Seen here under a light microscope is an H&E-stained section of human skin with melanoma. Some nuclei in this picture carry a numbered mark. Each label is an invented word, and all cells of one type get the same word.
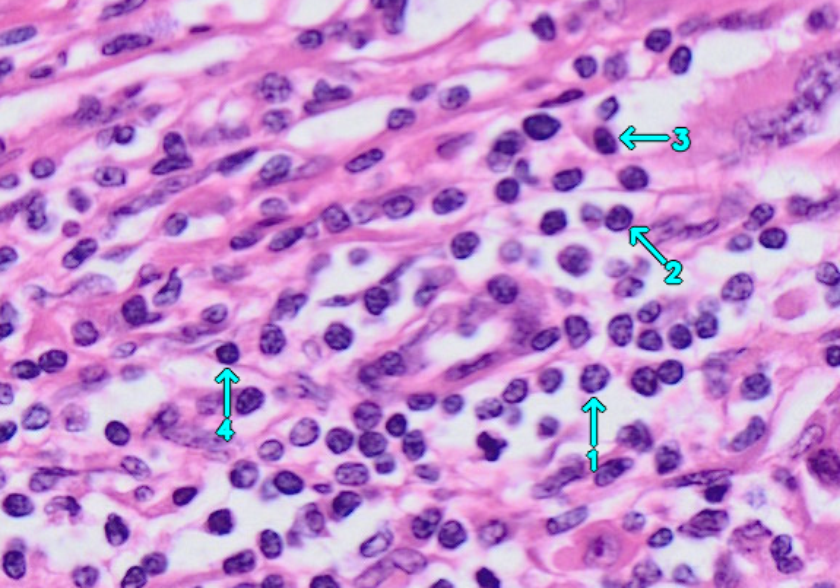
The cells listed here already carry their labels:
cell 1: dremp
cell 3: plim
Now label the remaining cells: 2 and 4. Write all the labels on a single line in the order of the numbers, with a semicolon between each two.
dremp; dremp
